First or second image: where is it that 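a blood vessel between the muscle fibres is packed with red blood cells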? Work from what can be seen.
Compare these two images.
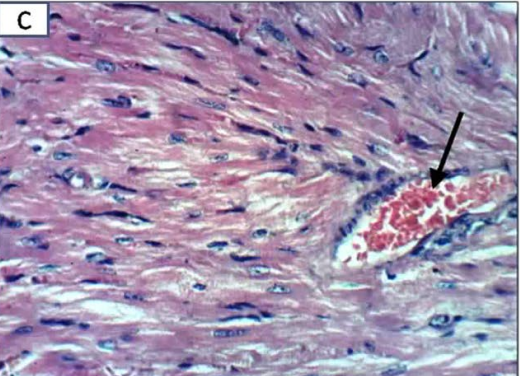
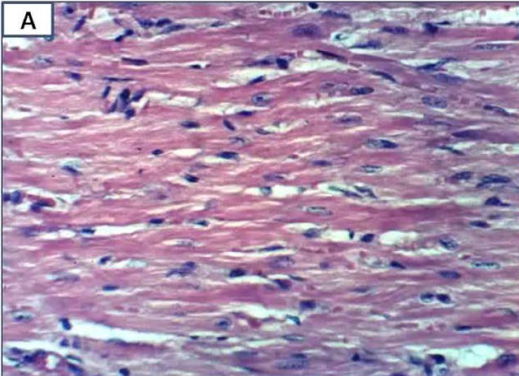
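First image: a vessel on the right is filled with many red blood cells. Second image: no vessel crowded with red blood cells is seen among the fibres.
Conclusion: the first image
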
